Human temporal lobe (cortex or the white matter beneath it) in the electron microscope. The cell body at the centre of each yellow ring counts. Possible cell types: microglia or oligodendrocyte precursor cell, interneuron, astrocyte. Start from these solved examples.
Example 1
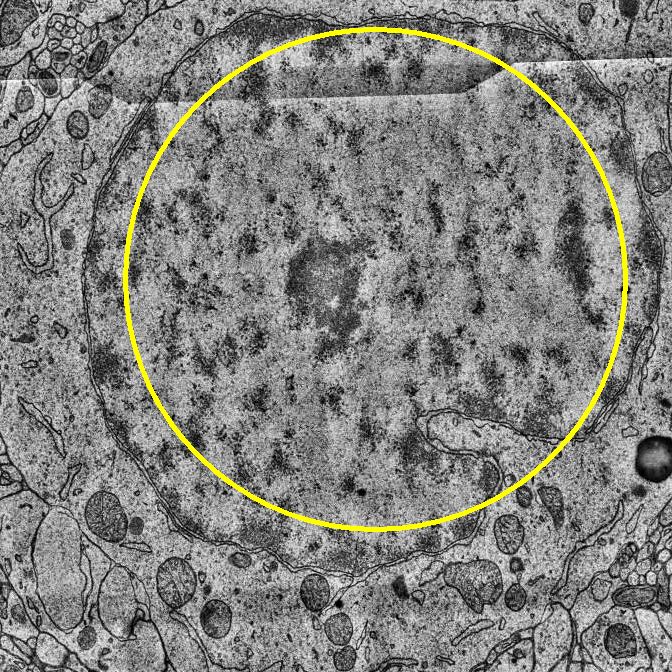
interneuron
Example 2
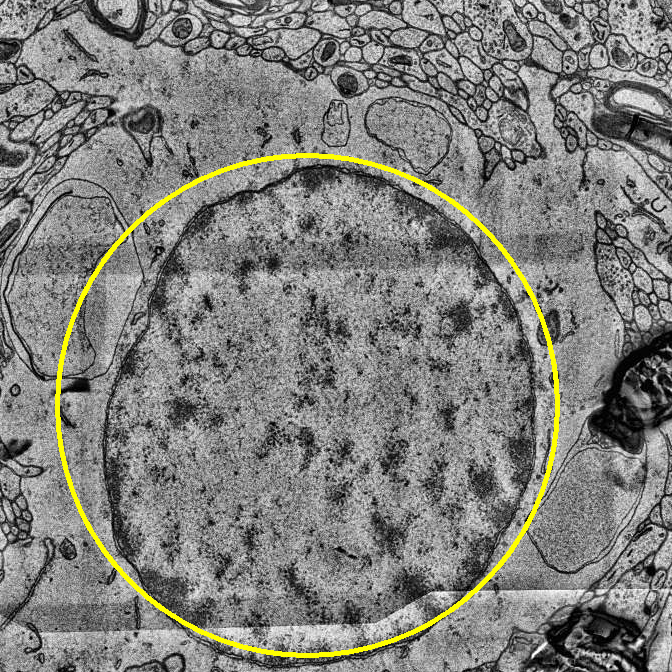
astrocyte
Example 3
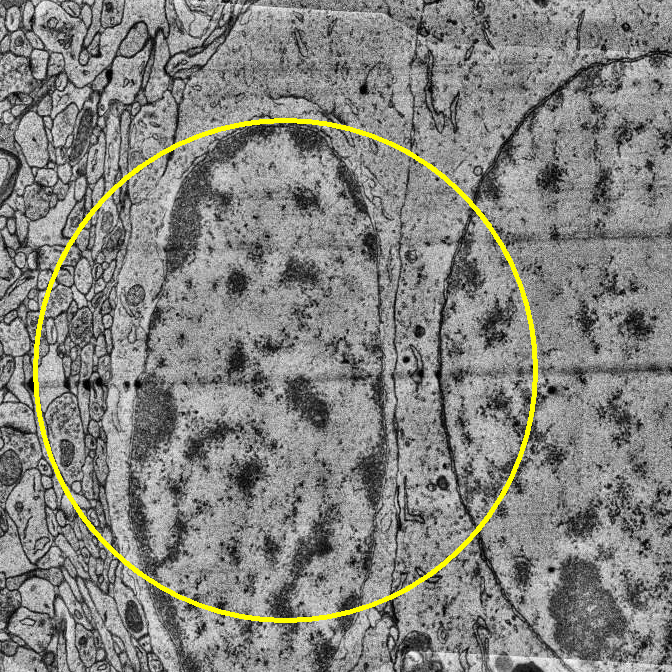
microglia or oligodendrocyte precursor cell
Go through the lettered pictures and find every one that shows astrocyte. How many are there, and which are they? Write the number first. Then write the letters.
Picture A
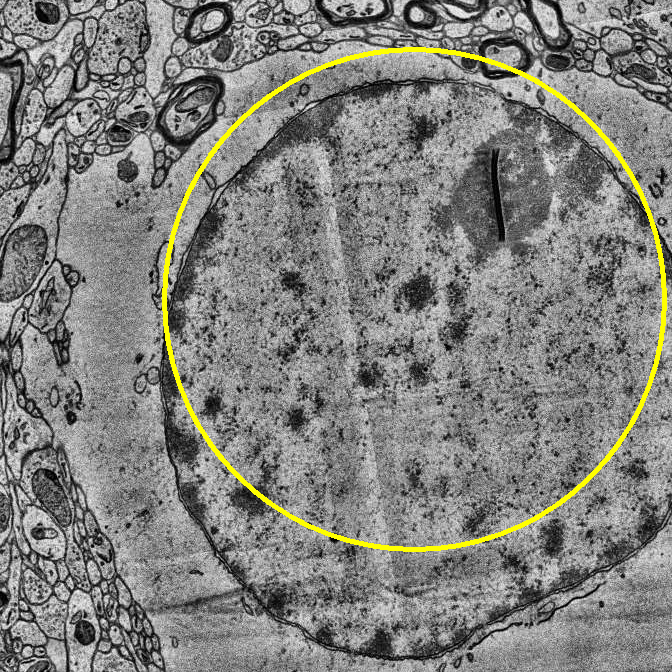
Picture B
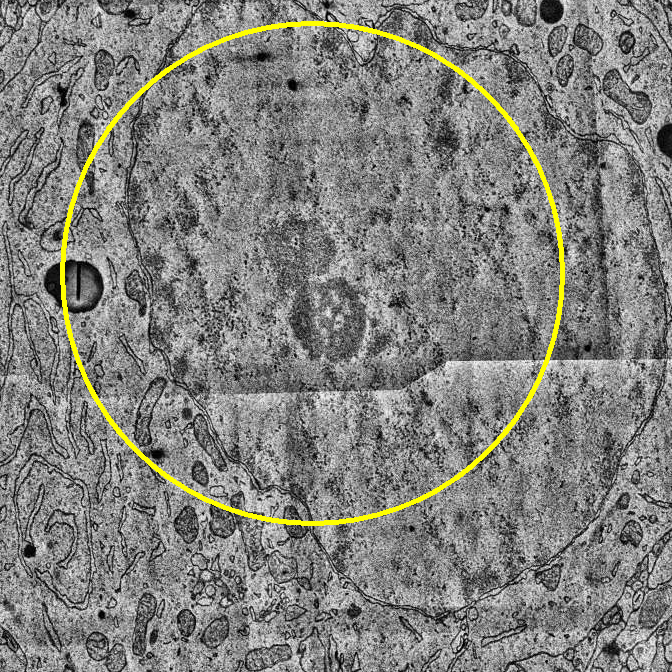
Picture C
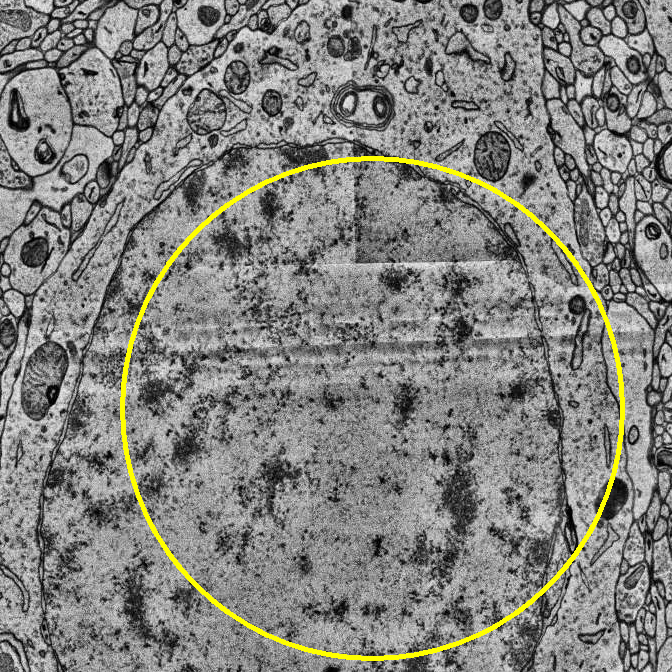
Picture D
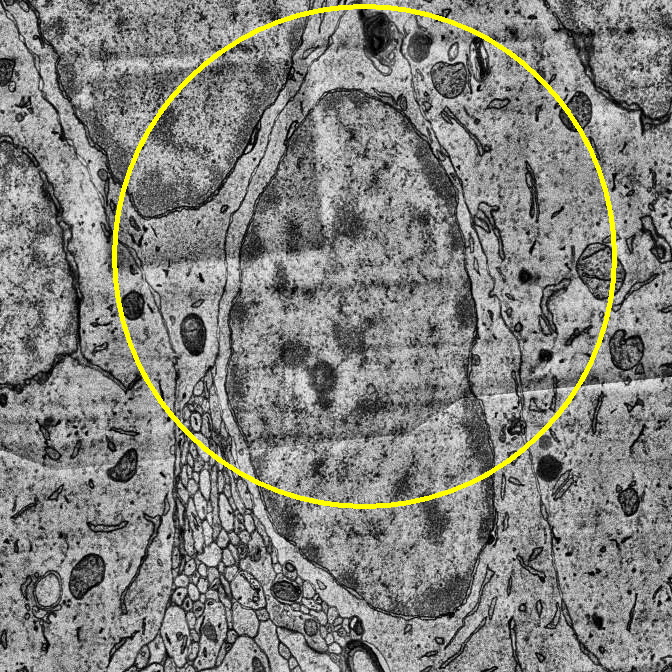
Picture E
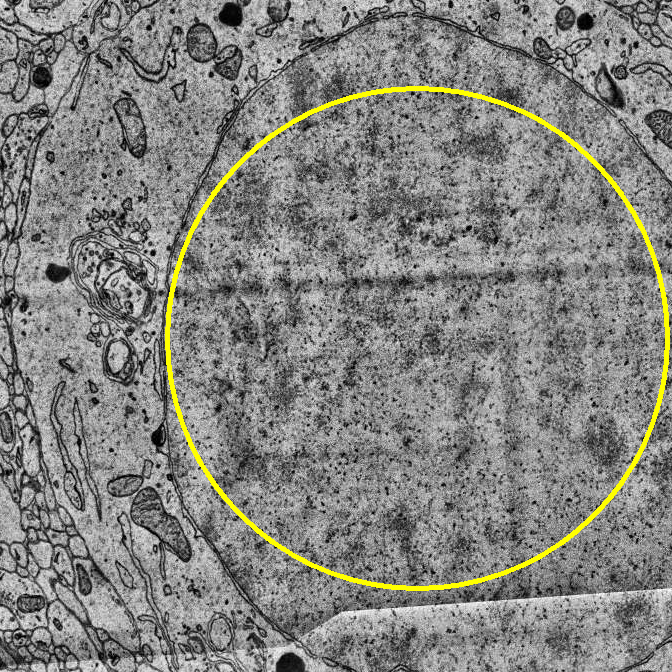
Count: 1 (A)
